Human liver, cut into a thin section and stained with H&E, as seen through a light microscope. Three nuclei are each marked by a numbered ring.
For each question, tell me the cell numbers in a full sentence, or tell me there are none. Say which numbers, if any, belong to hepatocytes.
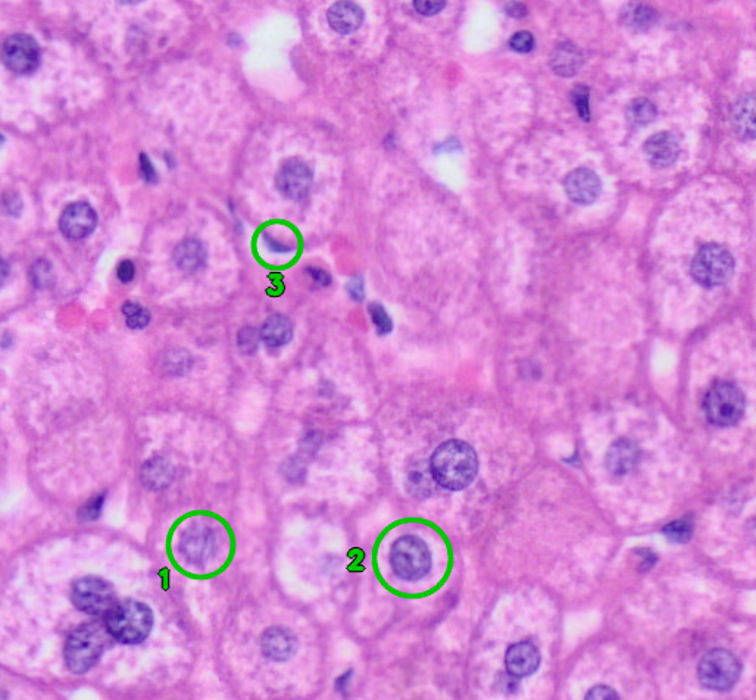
As for the cells numbered 1 and 2, they are hepatocytes.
